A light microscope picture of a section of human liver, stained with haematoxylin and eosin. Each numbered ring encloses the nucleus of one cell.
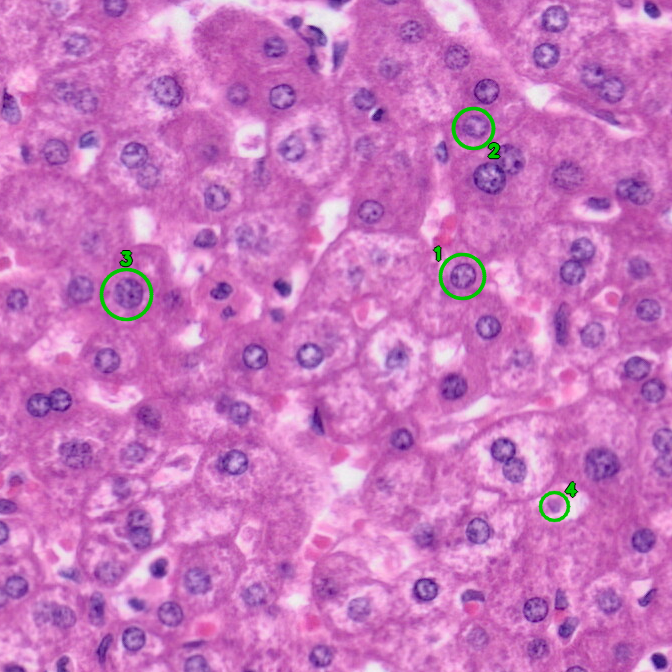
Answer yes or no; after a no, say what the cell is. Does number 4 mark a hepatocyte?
No, it is a Kupffer cell.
